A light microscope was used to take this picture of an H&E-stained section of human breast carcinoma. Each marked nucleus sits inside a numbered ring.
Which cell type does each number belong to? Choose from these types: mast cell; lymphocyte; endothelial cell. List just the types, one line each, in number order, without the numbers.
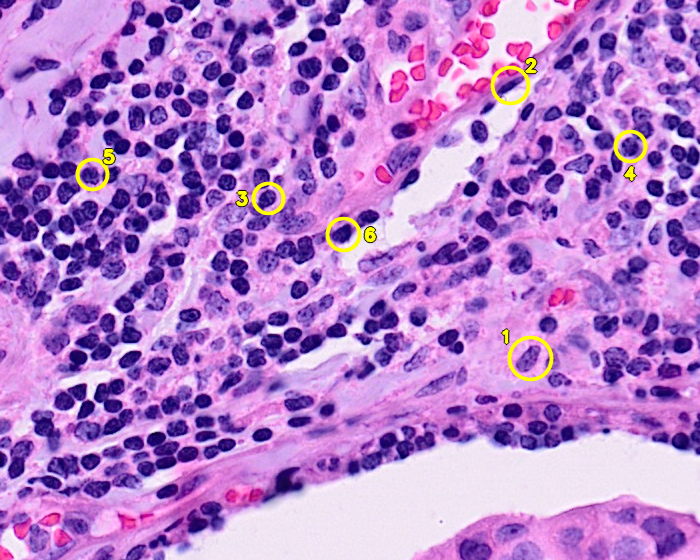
mast cell
endothelial cell
lymphocyte
lymphocyte
lymphocyte
lymphocyte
